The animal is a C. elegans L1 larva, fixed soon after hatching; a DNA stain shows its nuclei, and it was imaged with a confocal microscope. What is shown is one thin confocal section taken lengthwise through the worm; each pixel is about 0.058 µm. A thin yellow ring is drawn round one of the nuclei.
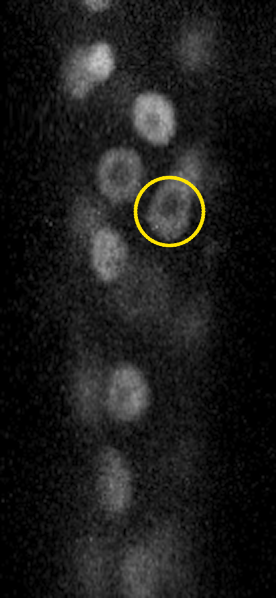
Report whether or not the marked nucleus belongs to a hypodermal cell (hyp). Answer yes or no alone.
yes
